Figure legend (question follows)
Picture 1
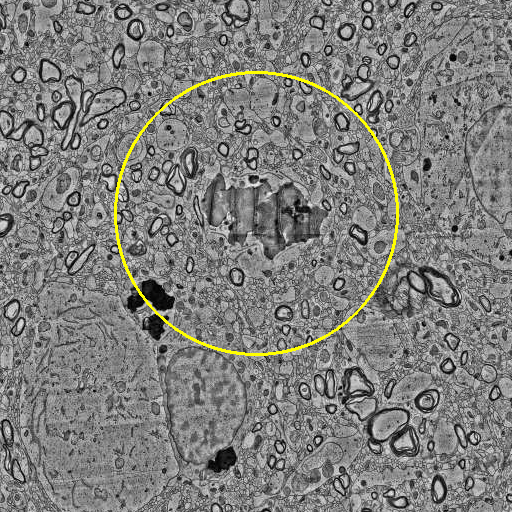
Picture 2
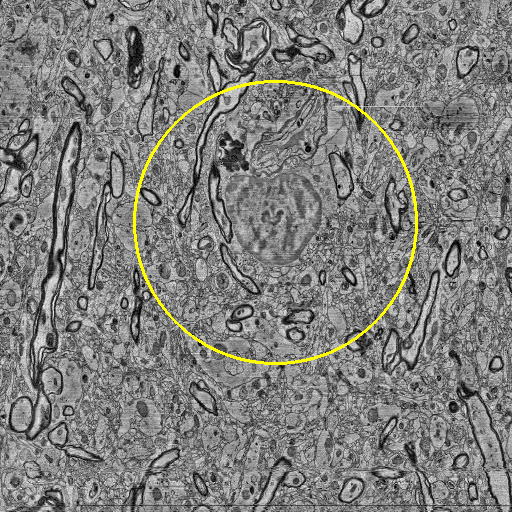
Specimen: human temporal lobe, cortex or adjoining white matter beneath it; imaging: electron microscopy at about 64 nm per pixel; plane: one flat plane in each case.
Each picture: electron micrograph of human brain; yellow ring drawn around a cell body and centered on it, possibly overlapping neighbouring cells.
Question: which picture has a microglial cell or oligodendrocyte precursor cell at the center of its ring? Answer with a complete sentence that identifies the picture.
Picture 1 has it at the center of its ring.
